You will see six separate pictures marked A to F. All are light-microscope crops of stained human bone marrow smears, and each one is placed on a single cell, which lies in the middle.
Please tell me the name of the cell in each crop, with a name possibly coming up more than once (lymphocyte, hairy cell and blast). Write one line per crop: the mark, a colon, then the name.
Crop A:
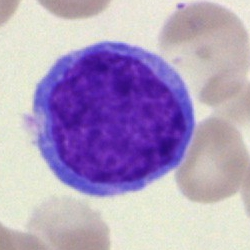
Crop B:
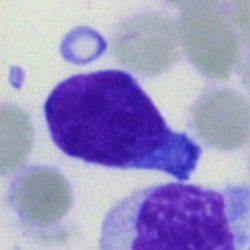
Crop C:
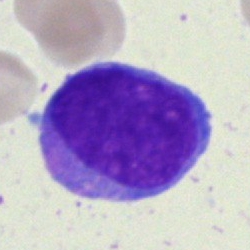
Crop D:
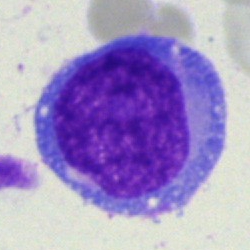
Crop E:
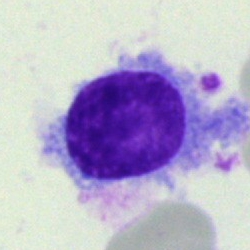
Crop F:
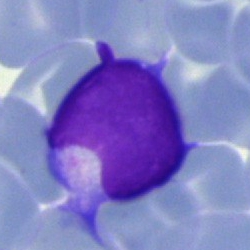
A: blast
B: blast
C: blast
D: blast
E: hairy cell
F: lymphocyte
